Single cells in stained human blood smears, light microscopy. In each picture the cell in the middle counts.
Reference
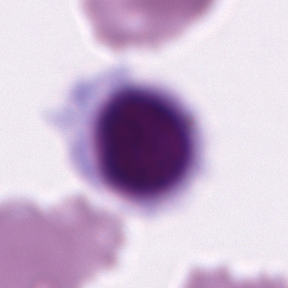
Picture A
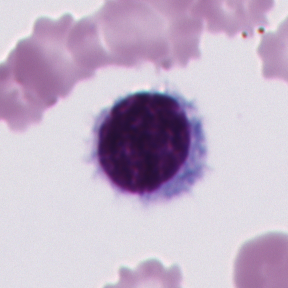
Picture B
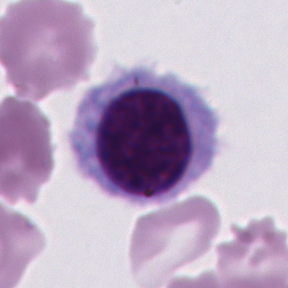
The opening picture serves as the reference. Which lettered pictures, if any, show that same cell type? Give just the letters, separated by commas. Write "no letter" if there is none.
A, B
